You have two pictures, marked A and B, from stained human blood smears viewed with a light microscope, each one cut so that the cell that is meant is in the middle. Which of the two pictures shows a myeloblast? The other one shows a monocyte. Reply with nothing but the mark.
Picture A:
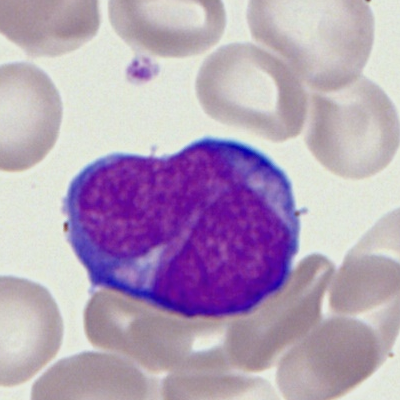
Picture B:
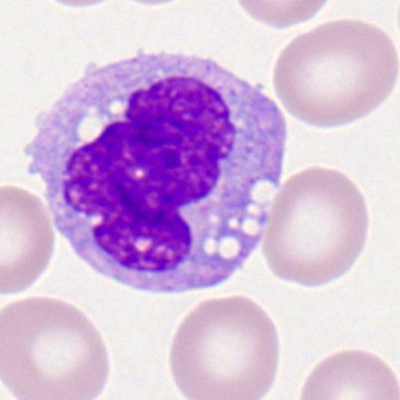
A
